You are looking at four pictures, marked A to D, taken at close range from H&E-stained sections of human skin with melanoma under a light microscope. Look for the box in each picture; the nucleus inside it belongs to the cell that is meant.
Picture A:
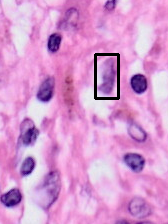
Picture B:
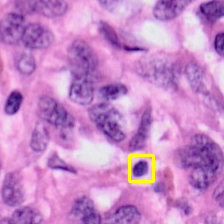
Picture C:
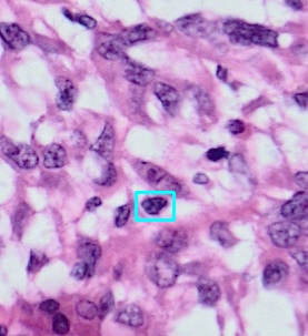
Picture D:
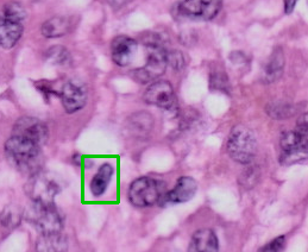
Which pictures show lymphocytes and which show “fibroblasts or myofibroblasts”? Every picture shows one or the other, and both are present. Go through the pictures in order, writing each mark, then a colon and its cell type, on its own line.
A: fibroblast or myofibroblast
B: lymphocyte
C: lymphocyte
D: lymphocyte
